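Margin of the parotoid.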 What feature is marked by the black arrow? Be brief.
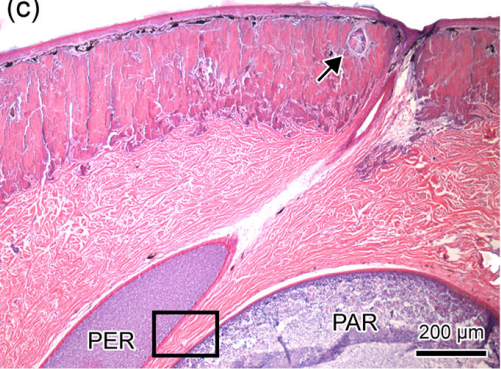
Mucous gland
